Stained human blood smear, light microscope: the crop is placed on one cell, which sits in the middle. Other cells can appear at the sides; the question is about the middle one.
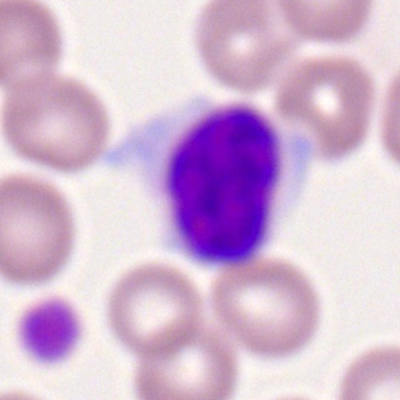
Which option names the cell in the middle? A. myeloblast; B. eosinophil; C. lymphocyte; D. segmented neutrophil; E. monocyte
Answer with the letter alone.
C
